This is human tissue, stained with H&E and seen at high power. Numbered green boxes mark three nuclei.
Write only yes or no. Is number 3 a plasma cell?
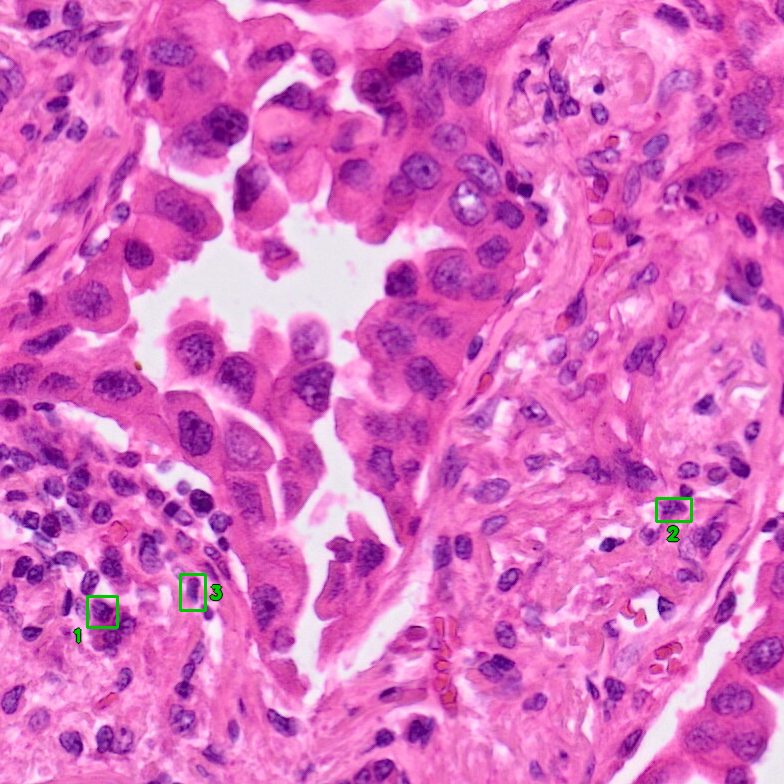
no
